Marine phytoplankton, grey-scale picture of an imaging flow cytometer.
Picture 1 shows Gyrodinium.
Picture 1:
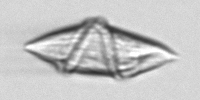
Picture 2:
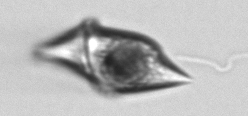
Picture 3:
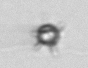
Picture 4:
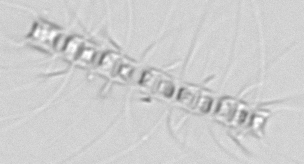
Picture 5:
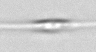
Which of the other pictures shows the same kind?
Picture 2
